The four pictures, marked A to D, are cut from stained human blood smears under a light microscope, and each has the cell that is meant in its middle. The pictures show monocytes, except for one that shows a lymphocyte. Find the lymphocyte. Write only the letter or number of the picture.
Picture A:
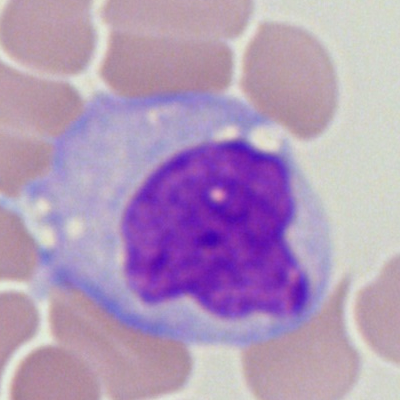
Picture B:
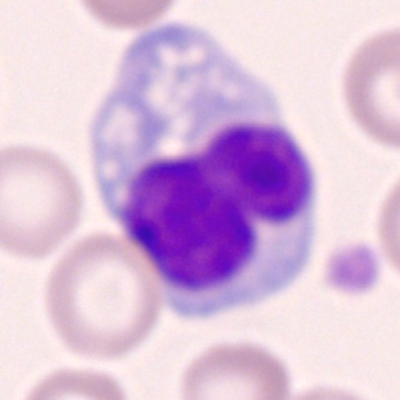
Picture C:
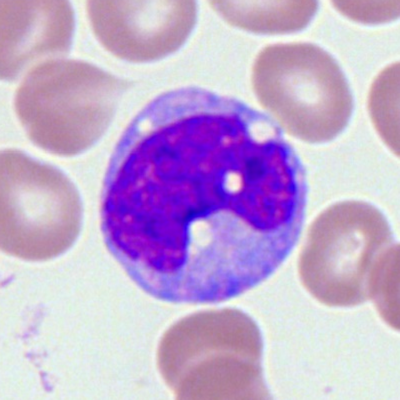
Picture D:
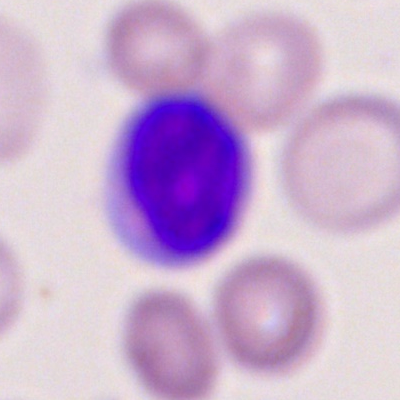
D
